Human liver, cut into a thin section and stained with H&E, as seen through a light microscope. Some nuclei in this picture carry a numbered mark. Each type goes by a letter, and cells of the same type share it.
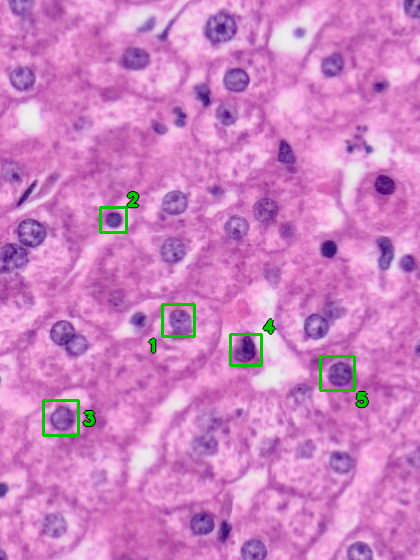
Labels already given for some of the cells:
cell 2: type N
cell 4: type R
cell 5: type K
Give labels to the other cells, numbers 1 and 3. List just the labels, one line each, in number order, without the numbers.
type K
type K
